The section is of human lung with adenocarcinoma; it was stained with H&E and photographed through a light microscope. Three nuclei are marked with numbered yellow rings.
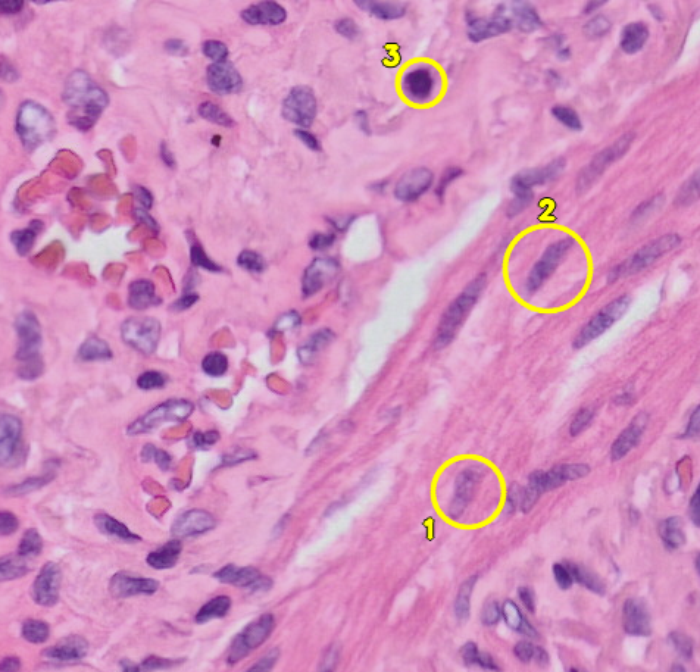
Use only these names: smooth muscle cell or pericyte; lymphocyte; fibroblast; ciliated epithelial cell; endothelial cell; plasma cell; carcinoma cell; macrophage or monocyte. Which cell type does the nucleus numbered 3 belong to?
plasma cell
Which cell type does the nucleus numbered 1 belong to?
smooth muscle cell or pericyte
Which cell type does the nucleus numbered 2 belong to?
smooth muscle cell or pericyte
